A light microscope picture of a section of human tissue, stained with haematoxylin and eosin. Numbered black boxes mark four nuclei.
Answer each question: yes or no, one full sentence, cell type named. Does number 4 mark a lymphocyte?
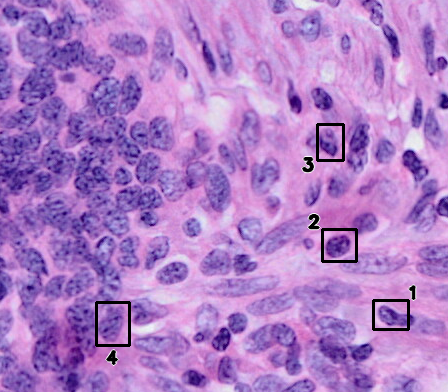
No, calling cell 4 a lymphocyte is a mistake; it is a squamous carcinoma cell.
